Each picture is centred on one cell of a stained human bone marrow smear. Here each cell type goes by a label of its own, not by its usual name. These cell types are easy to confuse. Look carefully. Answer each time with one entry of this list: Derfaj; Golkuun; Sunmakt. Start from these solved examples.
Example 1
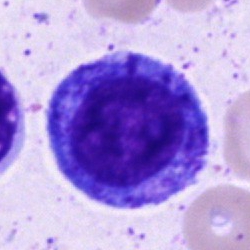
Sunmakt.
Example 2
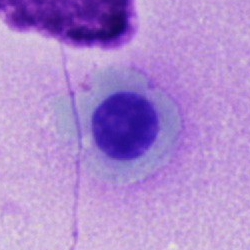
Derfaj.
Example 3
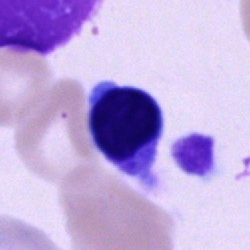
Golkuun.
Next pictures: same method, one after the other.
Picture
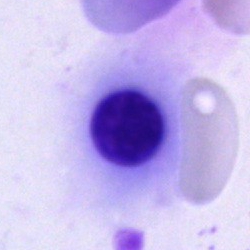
Derfaj.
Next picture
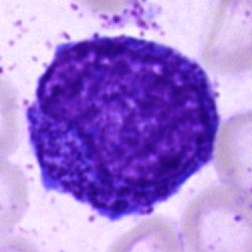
Sunmakt.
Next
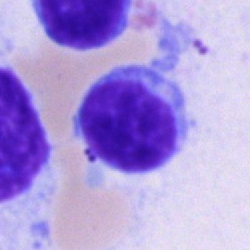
Golkuun.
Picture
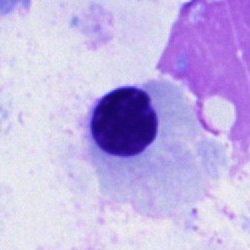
Derfaj.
